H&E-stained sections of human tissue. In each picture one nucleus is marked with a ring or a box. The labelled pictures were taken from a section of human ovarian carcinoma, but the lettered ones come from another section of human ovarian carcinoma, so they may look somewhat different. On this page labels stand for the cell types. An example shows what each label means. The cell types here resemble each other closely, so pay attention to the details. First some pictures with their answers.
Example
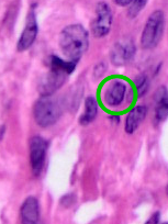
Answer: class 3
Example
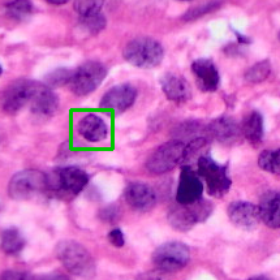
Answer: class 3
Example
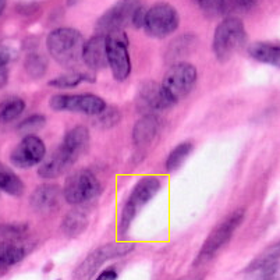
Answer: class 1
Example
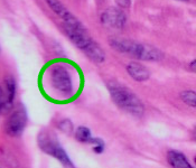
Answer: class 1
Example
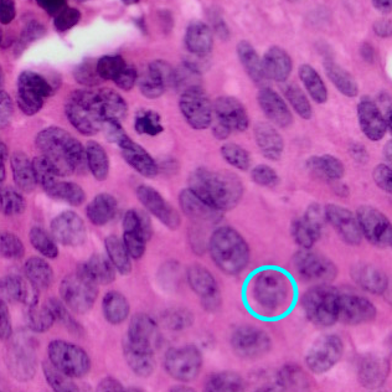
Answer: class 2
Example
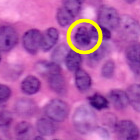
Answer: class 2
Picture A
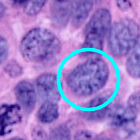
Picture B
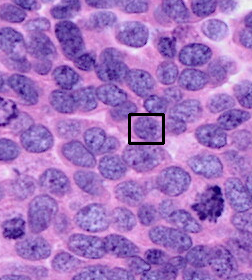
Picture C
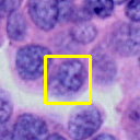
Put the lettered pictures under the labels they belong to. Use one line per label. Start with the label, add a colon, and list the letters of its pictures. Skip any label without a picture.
class 2: A, B, C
